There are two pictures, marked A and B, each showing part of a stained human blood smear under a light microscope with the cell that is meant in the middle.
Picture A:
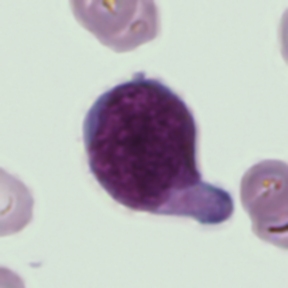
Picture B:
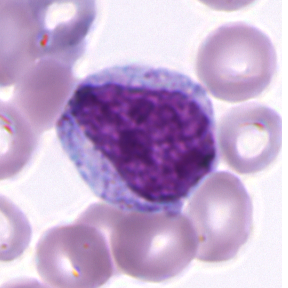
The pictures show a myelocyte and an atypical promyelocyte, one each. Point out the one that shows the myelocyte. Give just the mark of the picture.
B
